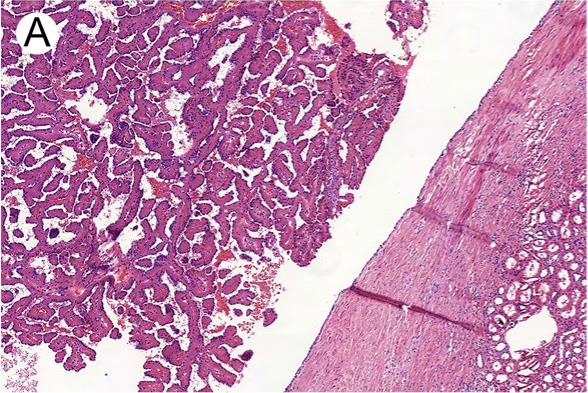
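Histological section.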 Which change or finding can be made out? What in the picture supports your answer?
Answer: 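Many branching papillary fronds fill the left part of the field. A pale fibrous wall runs along the right side, separated from the fronds by an empty space. Renal tubules lie beyond the fibrous wall at the lower right.
Conclusion: intracystic papillary growth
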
